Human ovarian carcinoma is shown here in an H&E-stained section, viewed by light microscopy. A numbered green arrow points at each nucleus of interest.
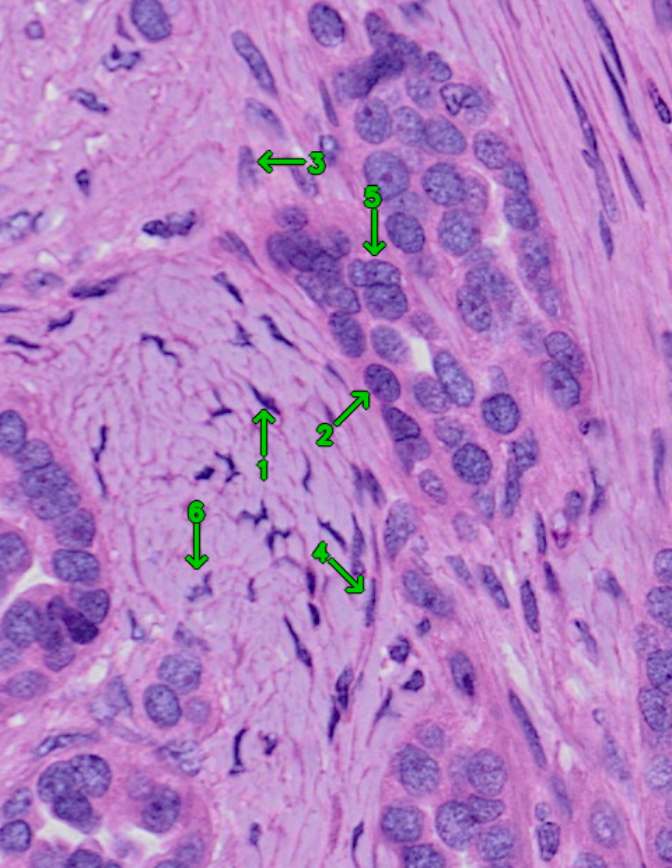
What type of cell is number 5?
carcinoma cell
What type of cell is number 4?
fibroblast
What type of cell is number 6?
fibroblast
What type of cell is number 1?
fibroblast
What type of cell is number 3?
fibroblast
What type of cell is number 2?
carcinoma cell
